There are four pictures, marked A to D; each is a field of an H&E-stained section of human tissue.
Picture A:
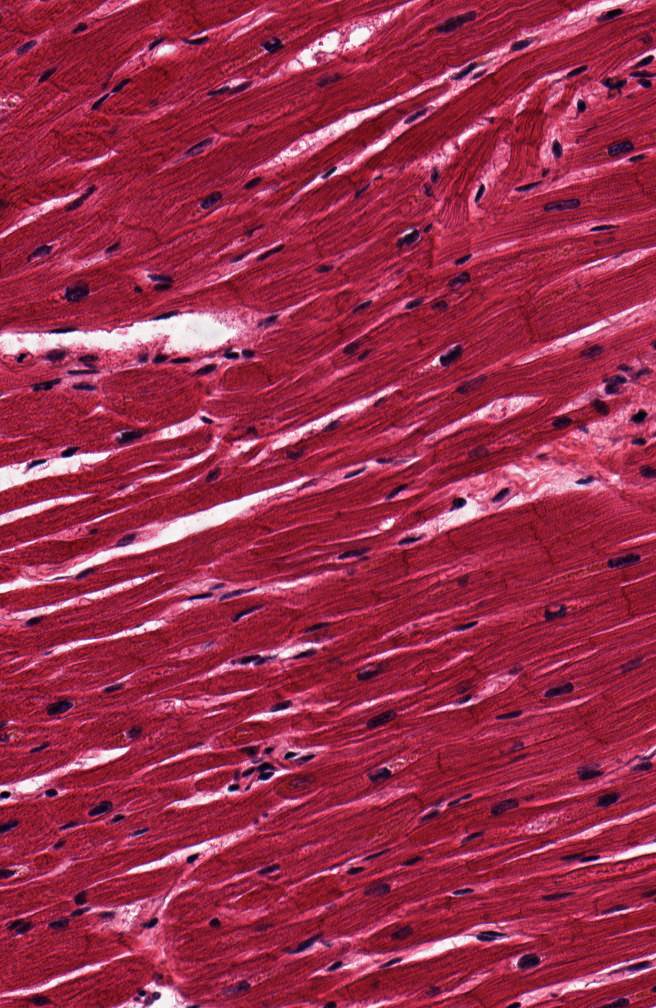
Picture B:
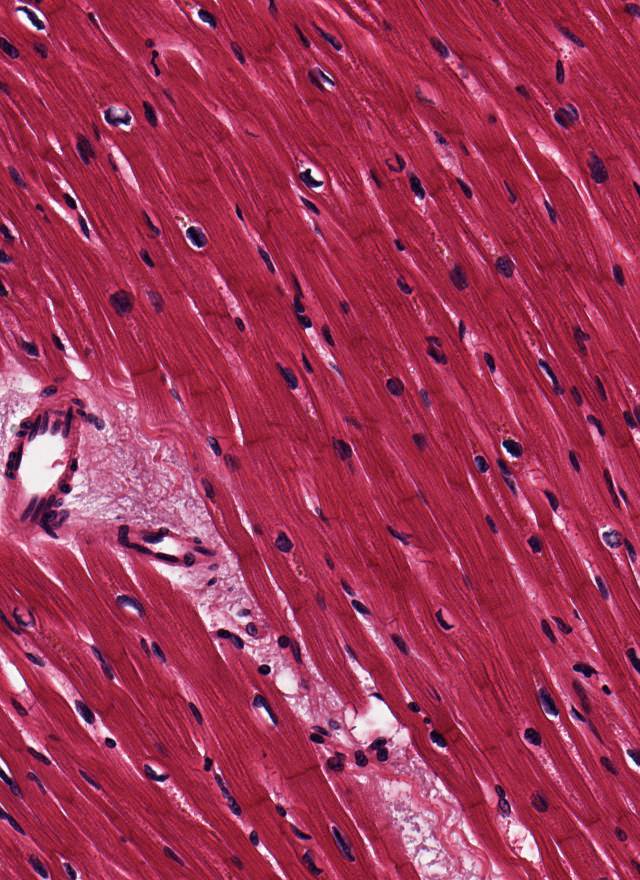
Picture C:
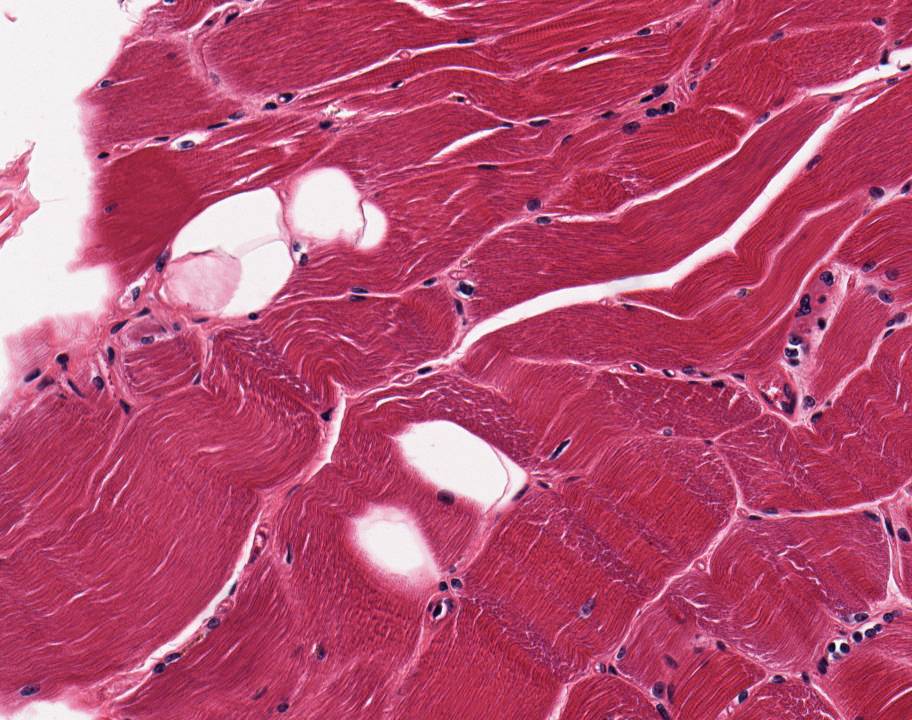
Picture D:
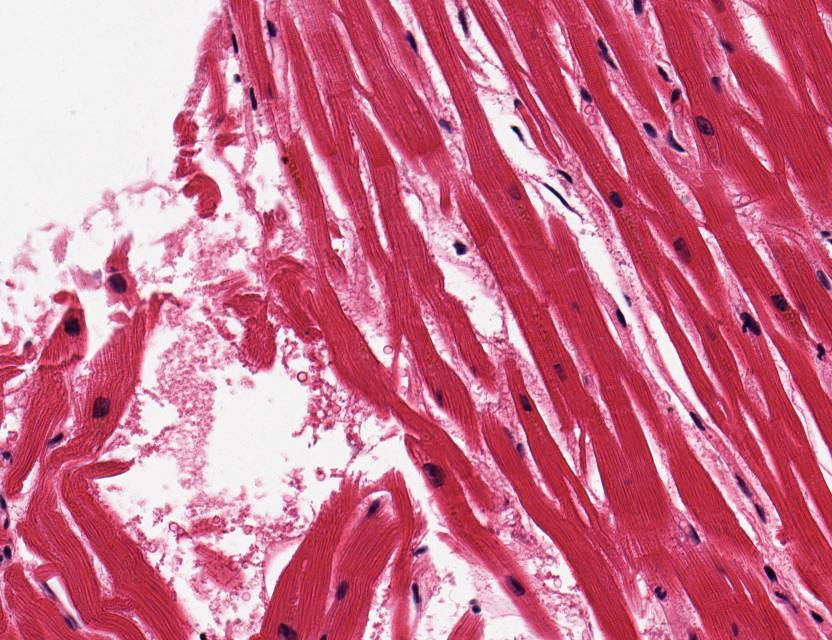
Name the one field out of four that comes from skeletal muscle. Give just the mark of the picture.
C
